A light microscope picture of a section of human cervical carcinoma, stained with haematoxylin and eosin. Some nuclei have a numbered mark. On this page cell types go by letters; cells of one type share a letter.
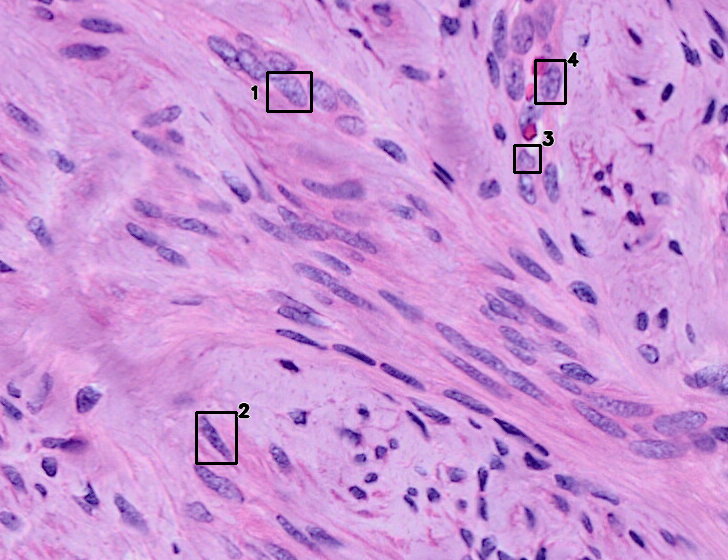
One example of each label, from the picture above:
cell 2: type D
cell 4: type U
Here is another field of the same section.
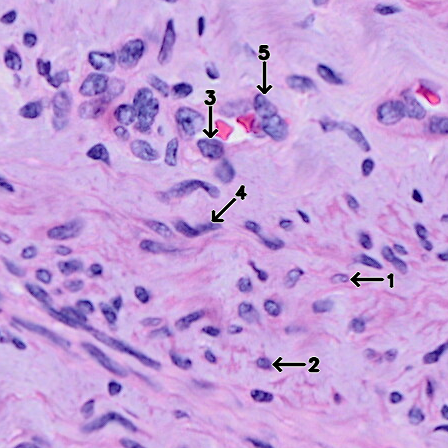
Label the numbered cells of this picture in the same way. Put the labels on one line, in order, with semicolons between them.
type D; type D; type U; type D; type U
